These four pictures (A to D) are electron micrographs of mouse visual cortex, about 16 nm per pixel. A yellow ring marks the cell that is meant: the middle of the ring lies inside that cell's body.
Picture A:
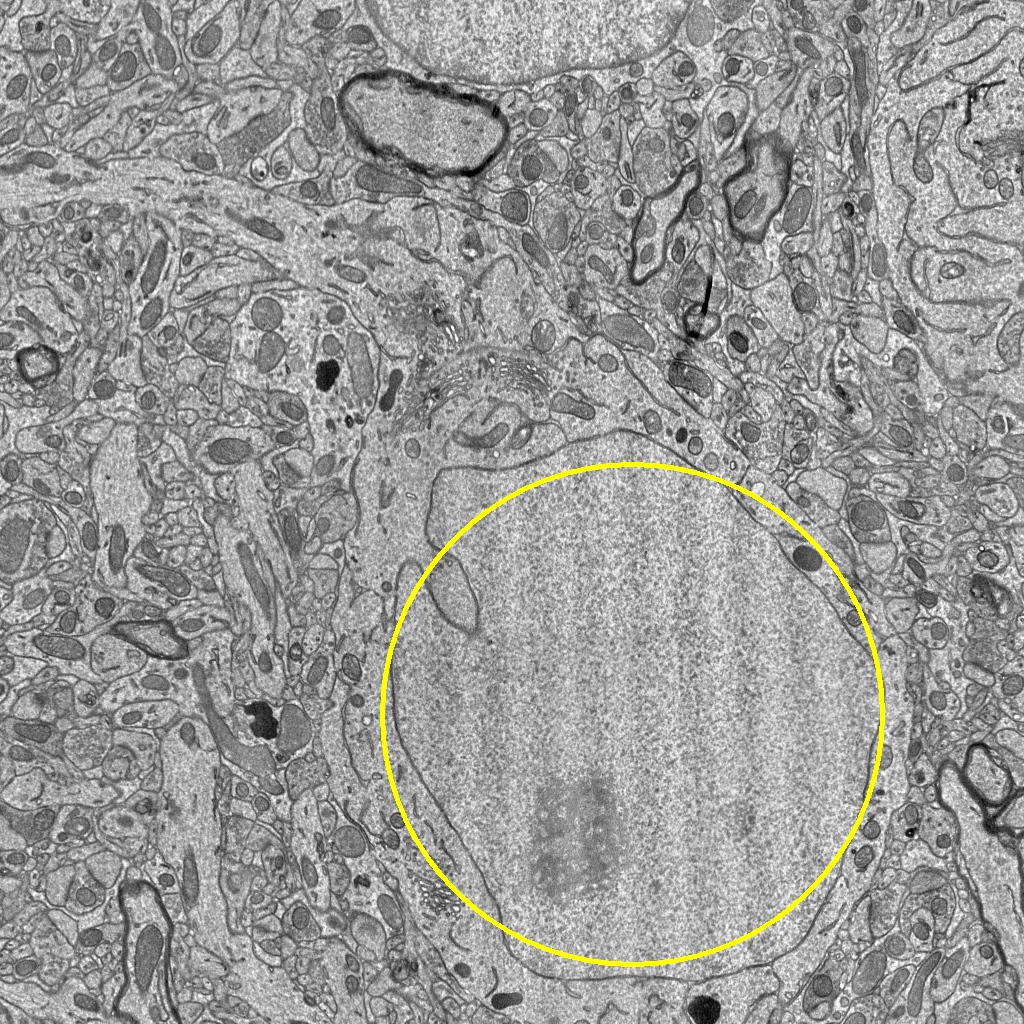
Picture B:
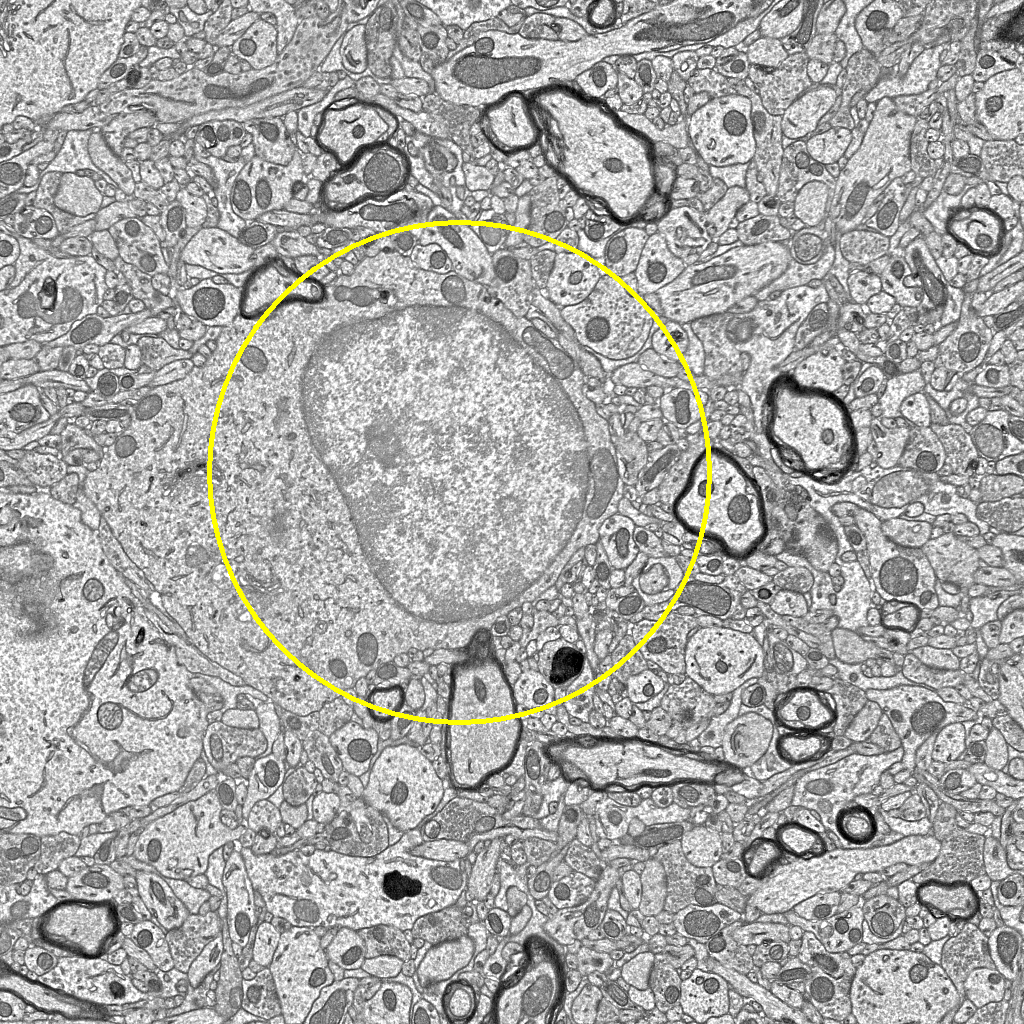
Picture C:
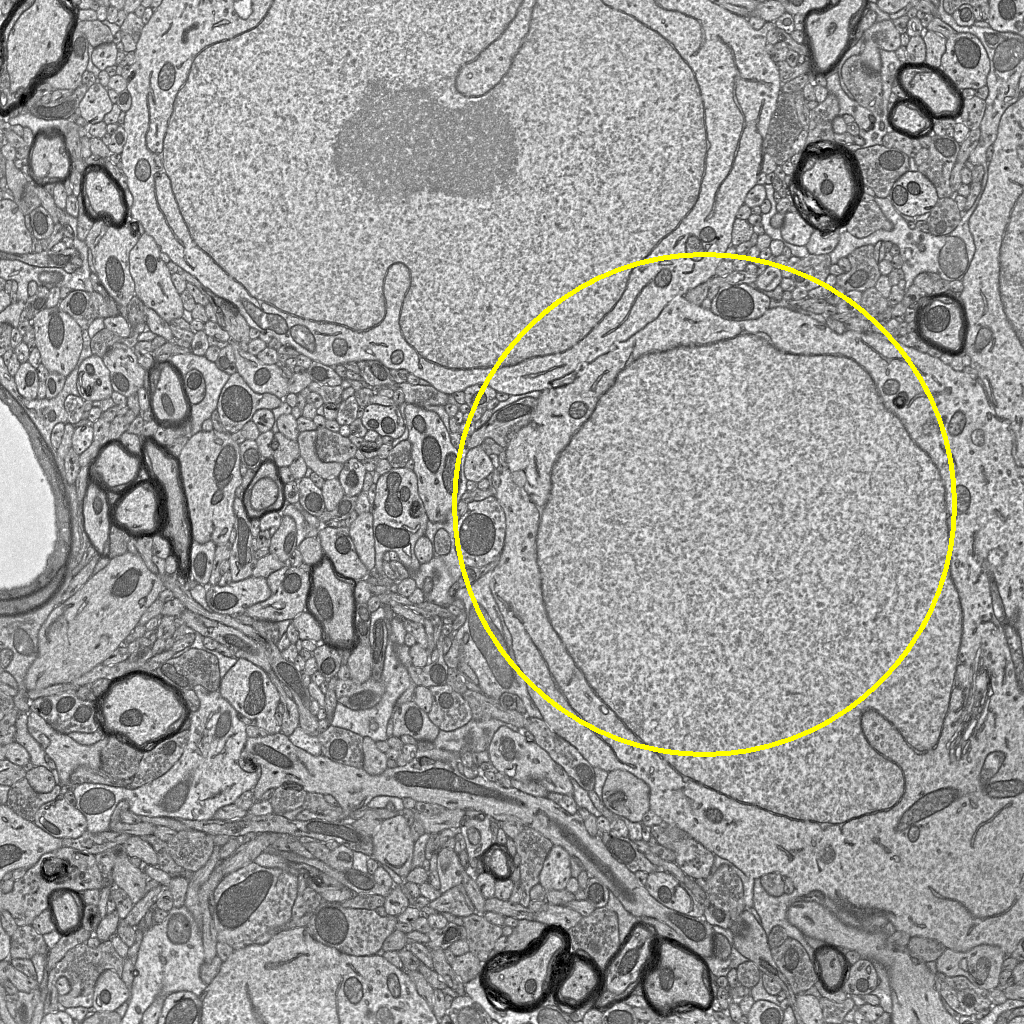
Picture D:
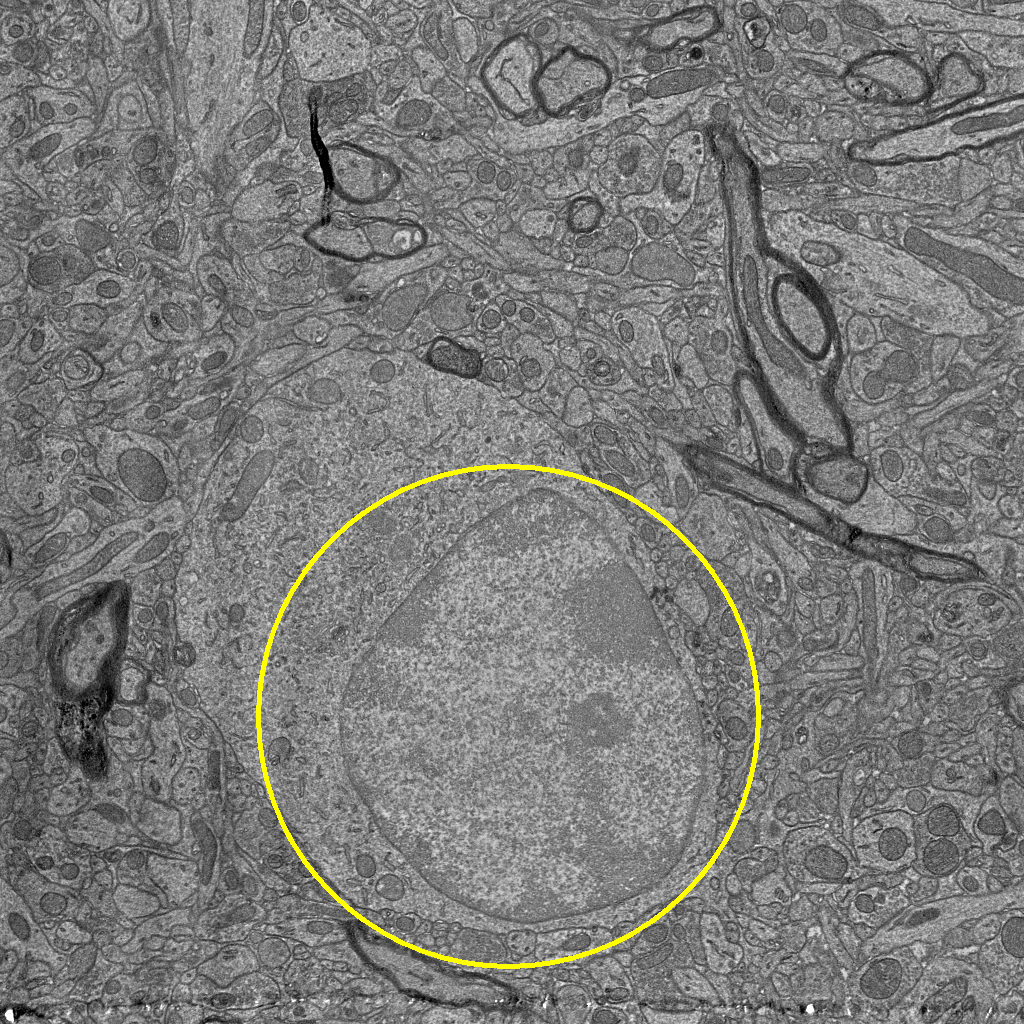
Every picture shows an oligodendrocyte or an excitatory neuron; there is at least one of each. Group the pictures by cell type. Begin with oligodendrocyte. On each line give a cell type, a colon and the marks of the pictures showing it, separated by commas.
oligodendrocyte: B, D
excitatory neuron: A, C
